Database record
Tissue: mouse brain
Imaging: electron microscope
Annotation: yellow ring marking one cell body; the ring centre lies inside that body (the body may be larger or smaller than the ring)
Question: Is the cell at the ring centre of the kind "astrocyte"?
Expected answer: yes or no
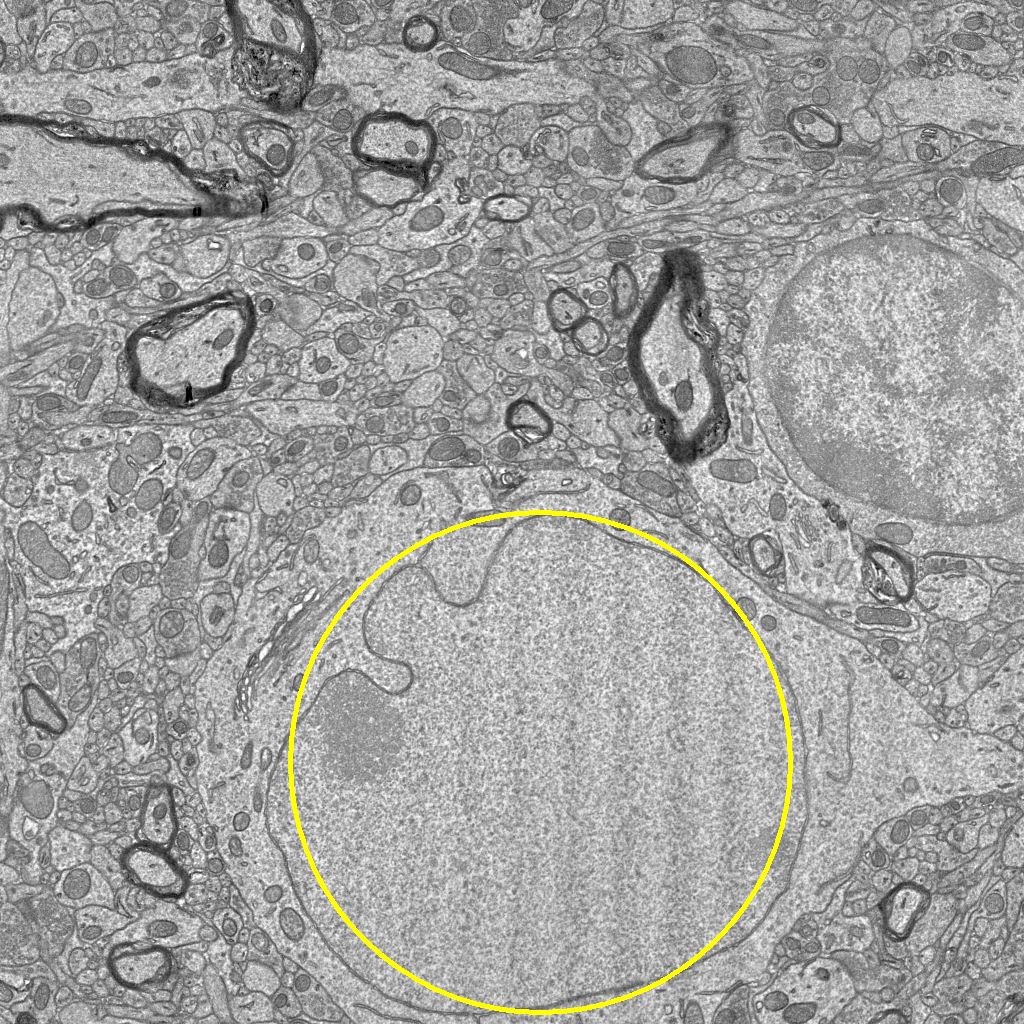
no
